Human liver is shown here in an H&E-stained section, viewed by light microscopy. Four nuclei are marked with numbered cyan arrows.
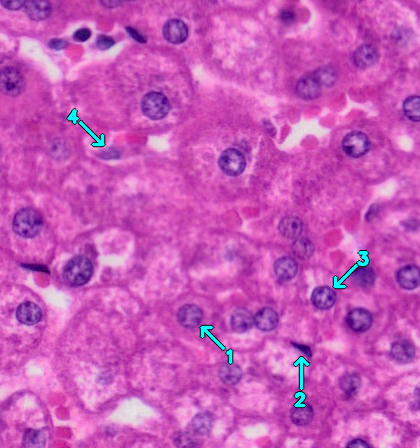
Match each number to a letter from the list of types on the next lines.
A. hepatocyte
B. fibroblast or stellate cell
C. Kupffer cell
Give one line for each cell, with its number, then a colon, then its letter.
1: A
2: B
3: A
4: C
